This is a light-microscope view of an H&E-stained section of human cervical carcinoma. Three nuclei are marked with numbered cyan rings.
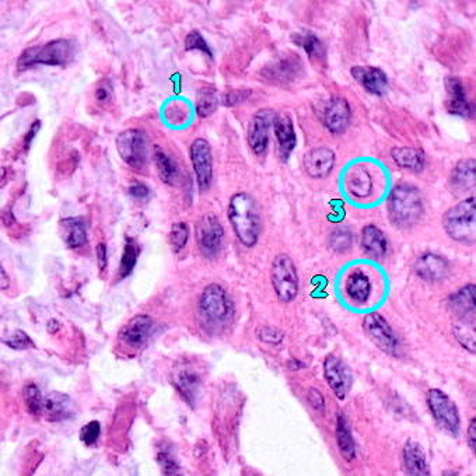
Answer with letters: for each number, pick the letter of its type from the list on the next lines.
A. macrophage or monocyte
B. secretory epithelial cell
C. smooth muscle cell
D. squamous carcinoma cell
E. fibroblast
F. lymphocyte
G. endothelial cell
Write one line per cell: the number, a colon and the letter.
1: E
2: D
3: D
